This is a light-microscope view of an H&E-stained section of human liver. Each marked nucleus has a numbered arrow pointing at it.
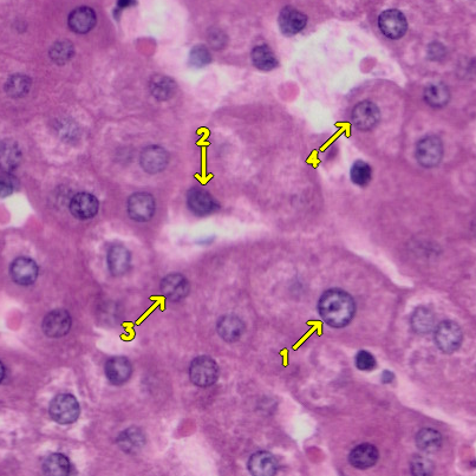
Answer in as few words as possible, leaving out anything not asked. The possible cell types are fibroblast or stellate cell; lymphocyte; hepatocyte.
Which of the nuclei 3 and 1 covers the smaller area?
3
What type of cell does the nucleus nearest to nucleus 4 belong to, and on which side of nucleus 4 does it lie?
a lymphocyte below nucleus 4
